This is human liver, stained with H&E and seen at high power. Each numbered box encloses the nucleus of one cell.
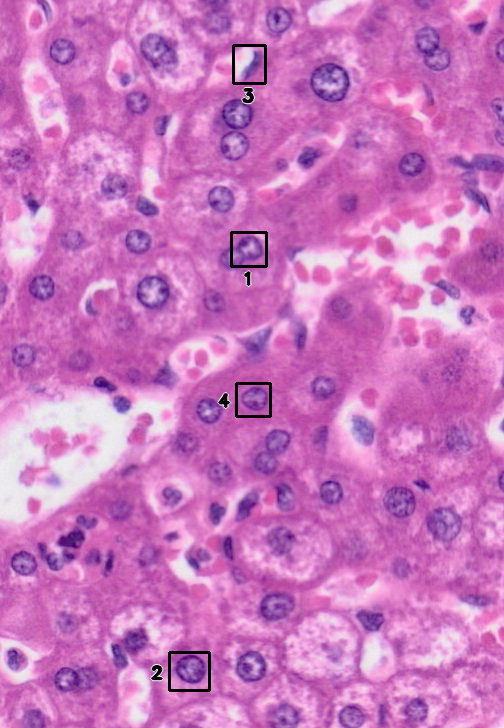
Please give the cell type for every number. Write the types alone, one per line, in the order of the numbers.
hepatocyte
hepatocyte
endothelial cell
hepatocyte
